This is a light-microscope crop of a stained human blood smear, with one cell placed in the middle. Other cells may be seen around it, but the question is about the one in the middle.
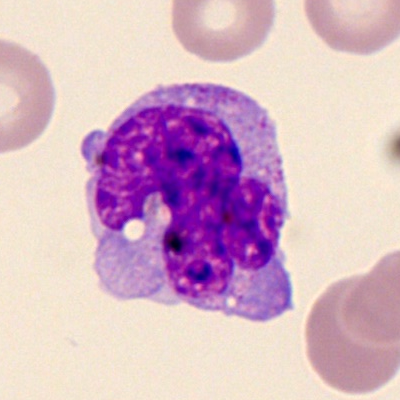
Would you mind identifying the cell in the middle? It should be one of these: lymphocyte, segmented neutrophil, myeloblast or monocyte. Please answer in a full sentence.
The cell nearest the centre of this crop is a monocyte.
